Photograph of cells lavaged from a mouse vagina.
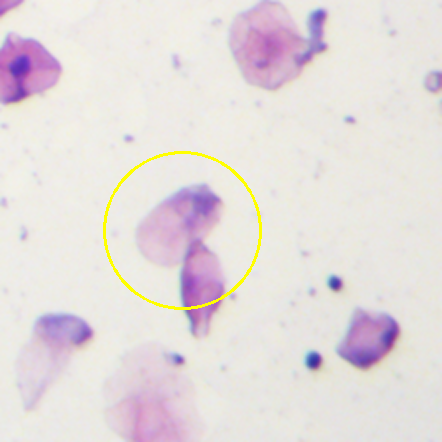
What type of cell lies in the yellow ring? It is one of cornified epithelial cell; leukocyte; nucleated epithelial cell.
The ringed cell is a cornified epithelial cell.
